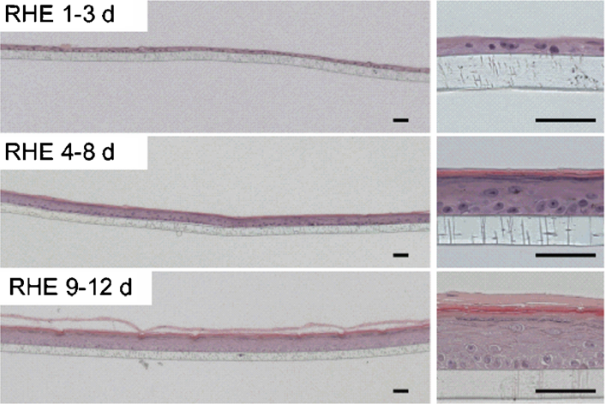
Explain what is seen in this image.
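The membrane lies underneath as a pale band crossed by fine vertical pores, and the pink-and-purple epithelium sits on top of it. In the top row the epithelium is thin, only a few cells thick, with dark purple oval nuclei and little cornified material above them. In the lower rows the epithelium is thicker, with several layers of nucleated cells and a distinct pink band on the surface. In the bottom row this pink surface layer is the most prominent, and the cells beneath it look paler with rounded nuclei.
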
